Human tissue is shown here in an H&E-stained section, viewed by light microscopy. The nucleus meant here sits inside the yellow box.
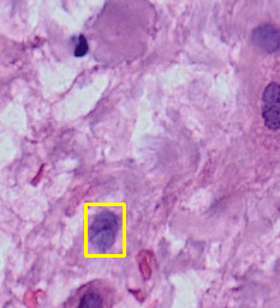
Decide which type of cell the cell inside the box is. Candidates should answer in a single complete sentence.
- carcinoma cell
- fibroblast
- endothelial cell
The classification of the cell inside the box is as a fibroblast.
